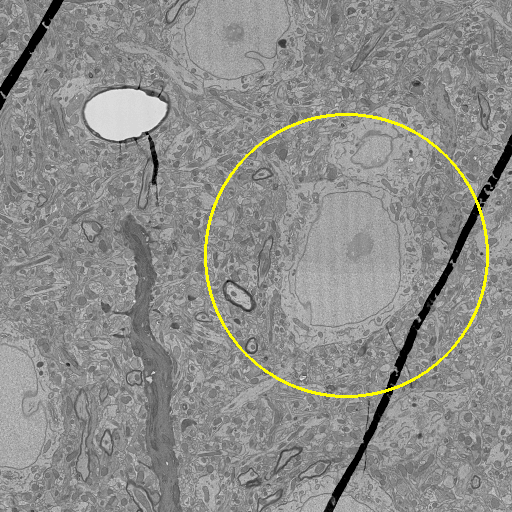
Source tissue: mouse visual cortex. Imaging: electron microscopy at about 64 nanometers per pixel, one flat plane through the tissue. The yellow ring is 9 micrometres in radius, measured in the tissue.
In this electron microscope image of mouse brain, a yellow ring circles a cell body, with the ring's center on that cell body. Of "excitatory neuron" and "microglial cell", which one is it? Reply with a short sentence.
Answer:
It is an excitatory neuron at the center of the ring.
